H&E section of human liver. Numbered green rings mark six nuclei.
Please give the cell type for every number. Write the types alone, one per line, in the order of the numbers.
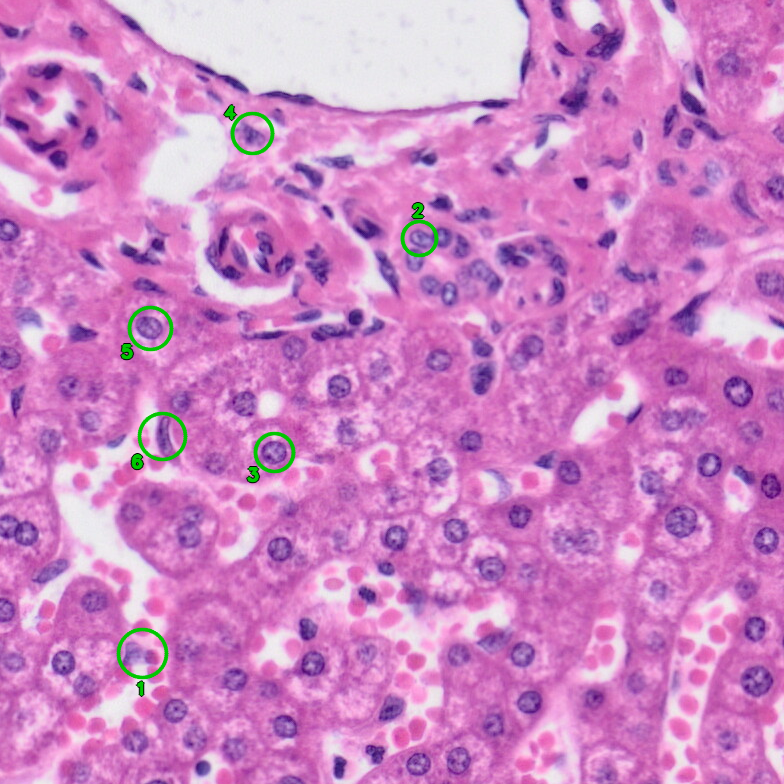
endothelial cell
cholangiocyte
hepatocyte
fibroblast or stellate cell
hepatocyte
Kupffer cell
